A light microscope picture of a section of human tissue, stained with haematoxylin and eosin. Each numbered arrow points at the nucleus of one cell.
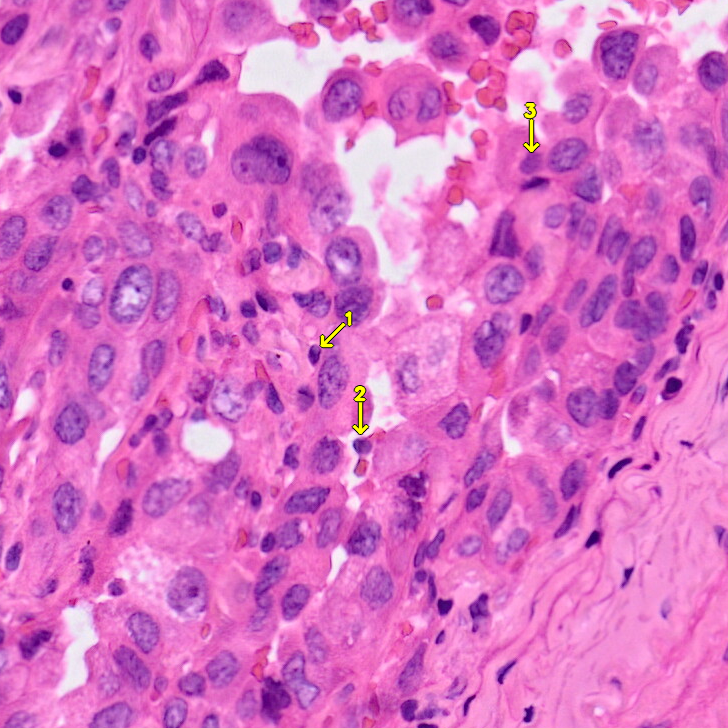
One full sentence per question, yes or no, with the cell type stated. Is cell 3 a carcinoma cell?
Yes, the cell identified as number 3 is a carcinoma cell.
